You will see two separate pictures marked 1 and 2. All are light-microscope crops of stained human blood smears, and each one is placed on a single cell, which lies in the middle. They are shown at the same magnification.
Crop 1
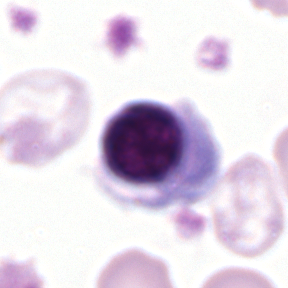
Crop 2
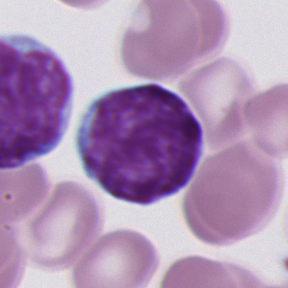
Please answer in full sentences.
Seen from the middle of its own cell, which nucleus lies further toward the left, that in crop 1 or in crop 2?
Seen within its cell, the nucleus in crop 1 lies further toward the left.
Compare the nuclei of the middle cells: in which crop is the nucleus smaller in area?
The nucleus in crop 1 is smaller; the one in crop 2 has about 2.5 times its area.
